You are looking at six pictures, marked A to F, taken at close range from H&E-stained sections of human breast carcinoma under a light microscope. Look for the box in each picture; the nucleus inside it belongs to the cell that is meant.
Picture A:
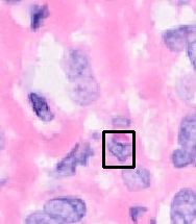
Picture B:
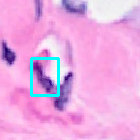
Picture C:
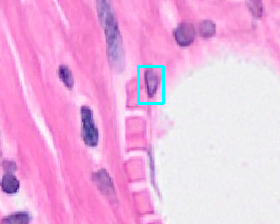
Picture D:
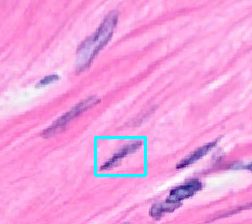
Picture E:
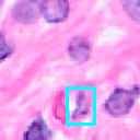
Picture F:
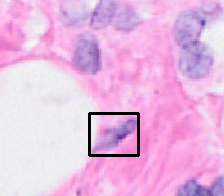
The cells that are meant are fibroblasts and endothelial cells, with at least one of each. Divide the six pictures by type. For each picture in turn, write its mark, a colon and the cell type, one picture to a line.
A: endothelial cell
B: endothelial cell
C: endothelial cell
D: fibroblast
E: endothelial cell
F: fibroblast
